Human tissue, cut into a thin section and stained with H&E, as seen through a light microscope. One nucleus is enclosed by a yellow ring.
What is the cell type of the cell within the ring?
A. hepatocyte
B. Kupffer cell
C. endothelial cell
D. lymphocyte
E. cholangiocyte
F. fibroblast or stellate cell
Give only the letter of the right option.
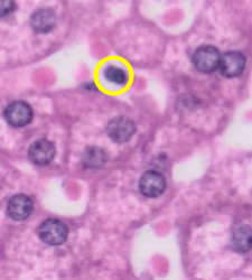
D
